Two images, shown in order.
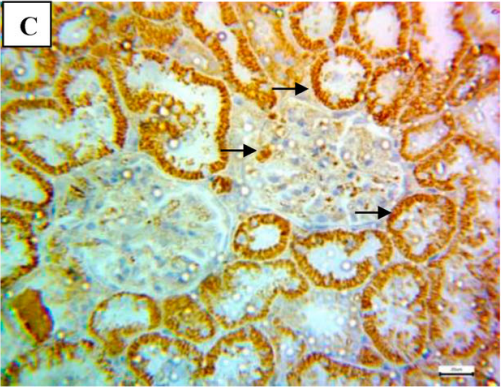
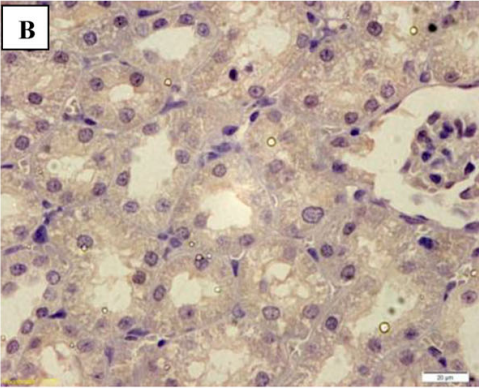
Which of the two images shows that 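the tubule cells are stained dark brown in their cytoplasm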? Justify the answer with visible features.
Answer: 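First image: tubule linings are intensely brown throughout the field. Second image: the cytoplasm is pale purplish-beige with no brown deposit. The answer: the first image.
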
